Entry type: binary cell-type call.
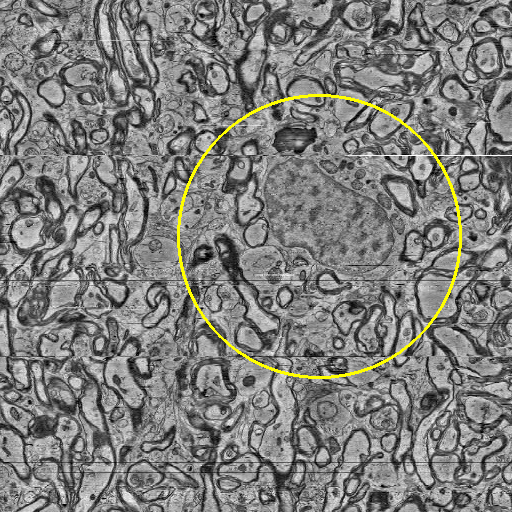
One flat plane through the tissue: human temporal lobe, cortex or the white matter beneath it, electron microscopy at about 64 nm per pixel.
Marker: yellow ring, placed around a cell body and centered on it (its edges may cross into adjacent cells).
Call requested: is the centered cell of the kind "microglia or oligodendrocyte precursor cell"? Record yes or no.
no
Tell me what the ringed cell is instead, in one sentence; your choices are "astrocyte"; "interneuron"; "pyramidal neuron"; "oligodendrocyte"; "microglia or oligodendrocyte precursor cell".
Instead, the ring in this picture marks an oligodendrocyte.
